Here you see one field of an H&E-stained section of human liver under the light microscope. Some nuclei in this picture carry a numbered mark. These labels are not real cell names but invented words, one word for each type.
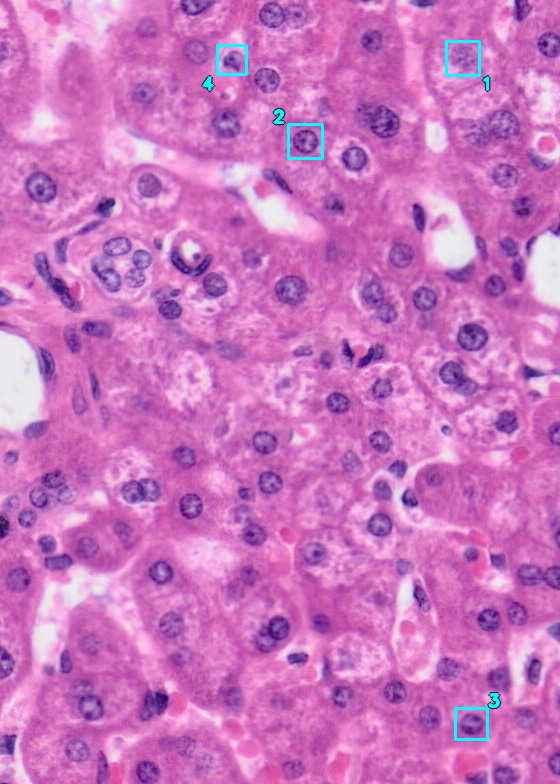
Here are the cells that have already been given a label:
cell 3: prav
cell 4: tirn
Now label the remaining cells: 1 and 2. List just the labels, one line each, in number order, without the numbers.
prav
prav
